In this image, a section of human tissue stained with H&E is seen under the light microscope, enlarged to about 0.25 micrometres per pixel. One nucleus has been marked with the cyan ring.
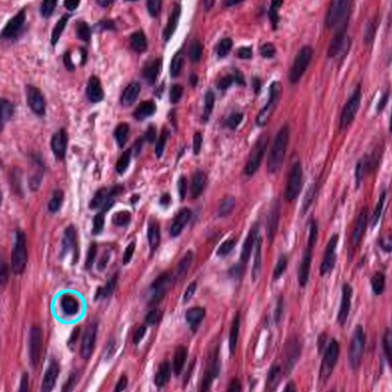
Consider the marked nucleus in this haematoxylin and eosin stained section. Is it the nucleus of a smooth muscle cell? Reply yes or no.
no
